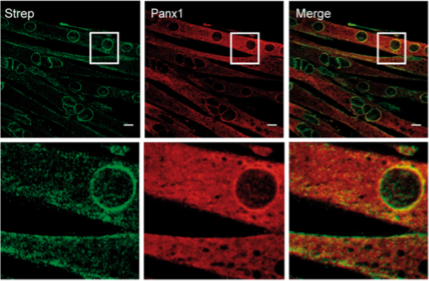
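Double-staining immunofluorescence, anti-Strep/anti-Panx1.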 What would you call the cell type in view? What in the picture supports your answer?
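Long, parallel, tube-shaped cells run across the field. Several oval nuclei lie in a row within a single elongated cell. On this evidence: myotubes.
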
